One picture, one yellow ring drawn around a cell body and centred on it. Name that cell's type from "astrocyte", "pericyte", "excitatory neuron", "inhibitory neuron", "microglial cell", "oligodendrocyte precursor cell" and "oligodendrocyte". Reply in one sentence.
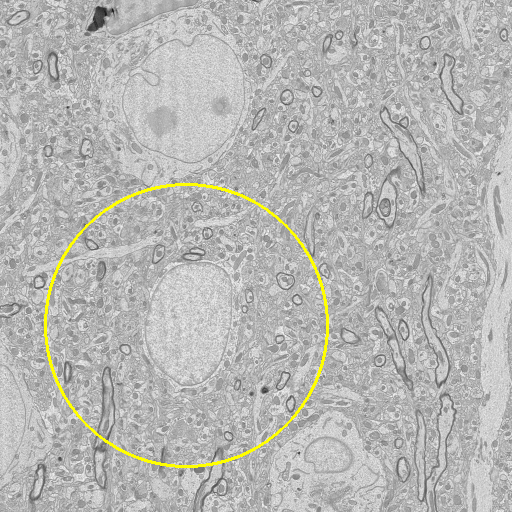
Centred in the ring is an astrocyte.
